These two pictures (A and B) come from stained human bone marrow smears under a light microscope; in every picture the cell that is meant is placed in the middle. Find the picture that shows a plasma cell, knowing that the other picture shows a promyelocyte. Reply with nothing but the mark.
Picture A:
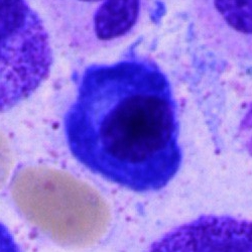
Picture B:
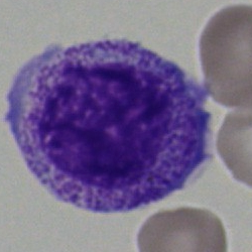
A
